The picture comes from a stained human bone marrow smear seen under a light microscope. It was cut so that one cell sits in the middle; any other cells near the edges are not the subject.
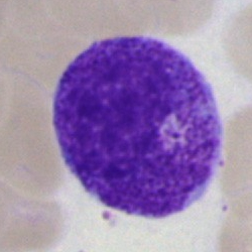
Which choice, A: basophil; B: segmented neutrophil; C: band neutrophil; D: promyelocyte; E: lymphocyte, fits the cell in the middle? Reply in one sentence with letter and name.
The middle of the crop contains a promyelocyte, so option D is right.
